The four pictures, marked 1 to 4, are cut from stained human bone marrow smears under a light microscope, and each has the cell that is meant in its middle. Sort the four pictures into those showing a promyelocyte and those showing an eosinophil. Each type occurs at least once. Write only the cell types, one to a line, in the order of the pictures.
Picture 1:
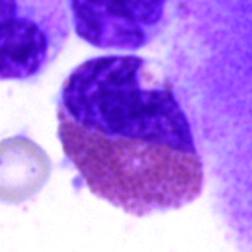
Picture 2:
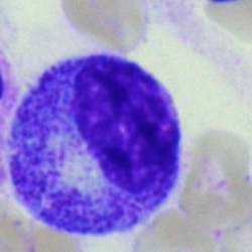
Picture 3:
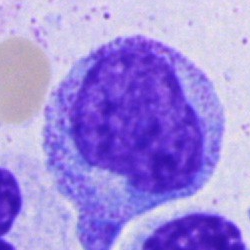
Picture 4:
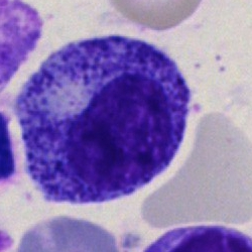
eosinophil
promyelocyte
promyelocyte
promyelocyte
